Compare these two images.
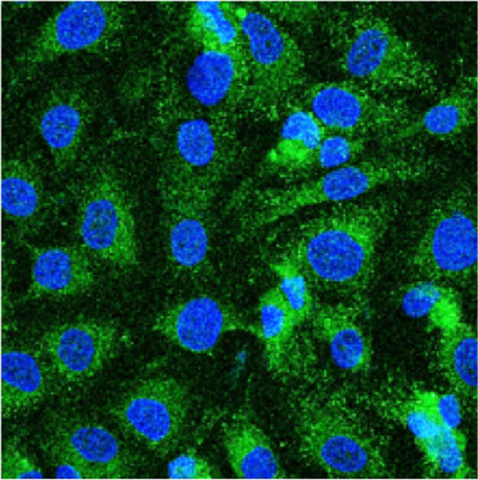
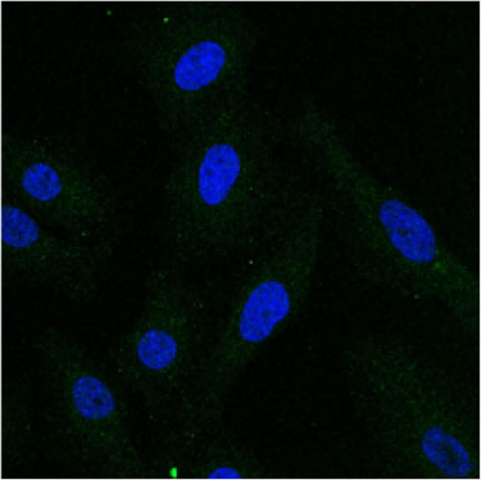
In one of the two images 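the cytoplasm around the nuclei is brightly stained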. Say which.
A: The first image.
